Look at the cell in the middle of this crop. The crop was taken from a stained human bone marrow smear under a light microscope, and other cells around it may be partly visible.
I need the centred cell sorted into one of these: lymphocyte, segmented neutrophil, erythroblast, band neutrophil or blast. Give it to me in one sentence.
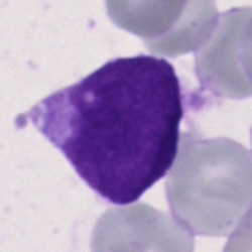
Looking at the middle of the crop, the cell there is a blast.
